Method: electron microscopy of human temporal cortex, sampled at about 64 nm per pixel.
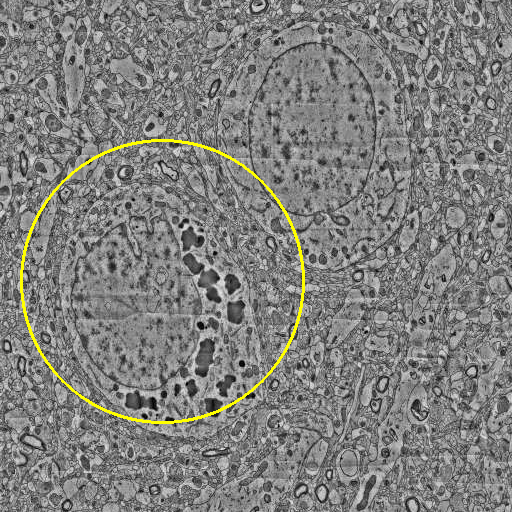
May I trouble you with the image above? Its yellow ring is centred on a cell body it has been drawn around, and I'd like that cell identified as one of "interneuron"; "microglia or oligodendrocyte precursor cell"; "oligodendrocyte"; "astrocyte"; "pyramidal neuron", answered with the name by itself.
interneuron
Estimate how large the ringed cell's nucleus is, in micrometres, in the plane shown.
Roughly 11 by 8 micrometres is the size of the nucleus in this plane.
